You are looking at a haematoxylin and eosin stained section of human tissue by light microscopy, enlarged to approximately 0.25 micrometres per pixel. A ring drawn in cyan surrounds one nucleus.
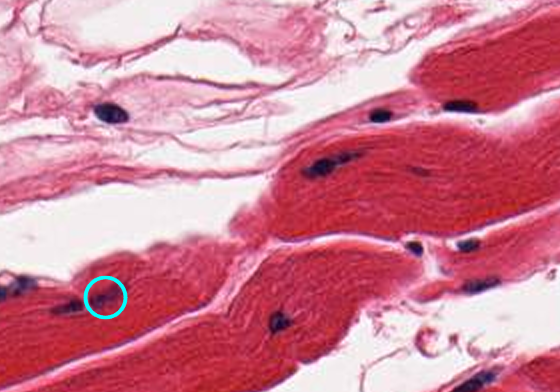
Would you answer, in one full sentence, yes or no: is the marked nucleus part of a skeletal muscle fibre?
Yes, the nucleus bearing the mark is that of a skeletal muscle fibre.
